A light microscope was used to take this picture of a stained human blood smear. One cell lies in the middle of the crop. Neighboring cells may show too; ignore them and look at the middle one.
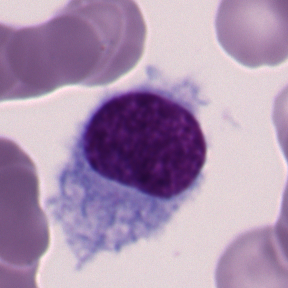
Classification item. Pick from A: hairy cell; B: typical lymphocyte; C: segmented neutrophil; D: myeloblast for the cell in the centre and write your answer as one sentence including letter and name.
For this crop, option A is right, the centered cell being a hairy cell.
